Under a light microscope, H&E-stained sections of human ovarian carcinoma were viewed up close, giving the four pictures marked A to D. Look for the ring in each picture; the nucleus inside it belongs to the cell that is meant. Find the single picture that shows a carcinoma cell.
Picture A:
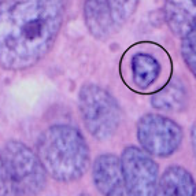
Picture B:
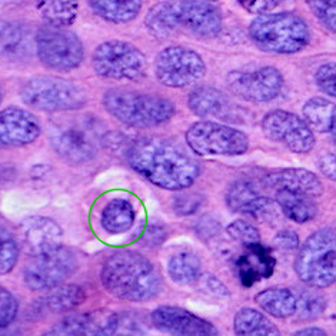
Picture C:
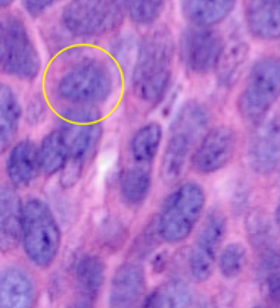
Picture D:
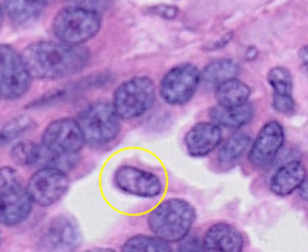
C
